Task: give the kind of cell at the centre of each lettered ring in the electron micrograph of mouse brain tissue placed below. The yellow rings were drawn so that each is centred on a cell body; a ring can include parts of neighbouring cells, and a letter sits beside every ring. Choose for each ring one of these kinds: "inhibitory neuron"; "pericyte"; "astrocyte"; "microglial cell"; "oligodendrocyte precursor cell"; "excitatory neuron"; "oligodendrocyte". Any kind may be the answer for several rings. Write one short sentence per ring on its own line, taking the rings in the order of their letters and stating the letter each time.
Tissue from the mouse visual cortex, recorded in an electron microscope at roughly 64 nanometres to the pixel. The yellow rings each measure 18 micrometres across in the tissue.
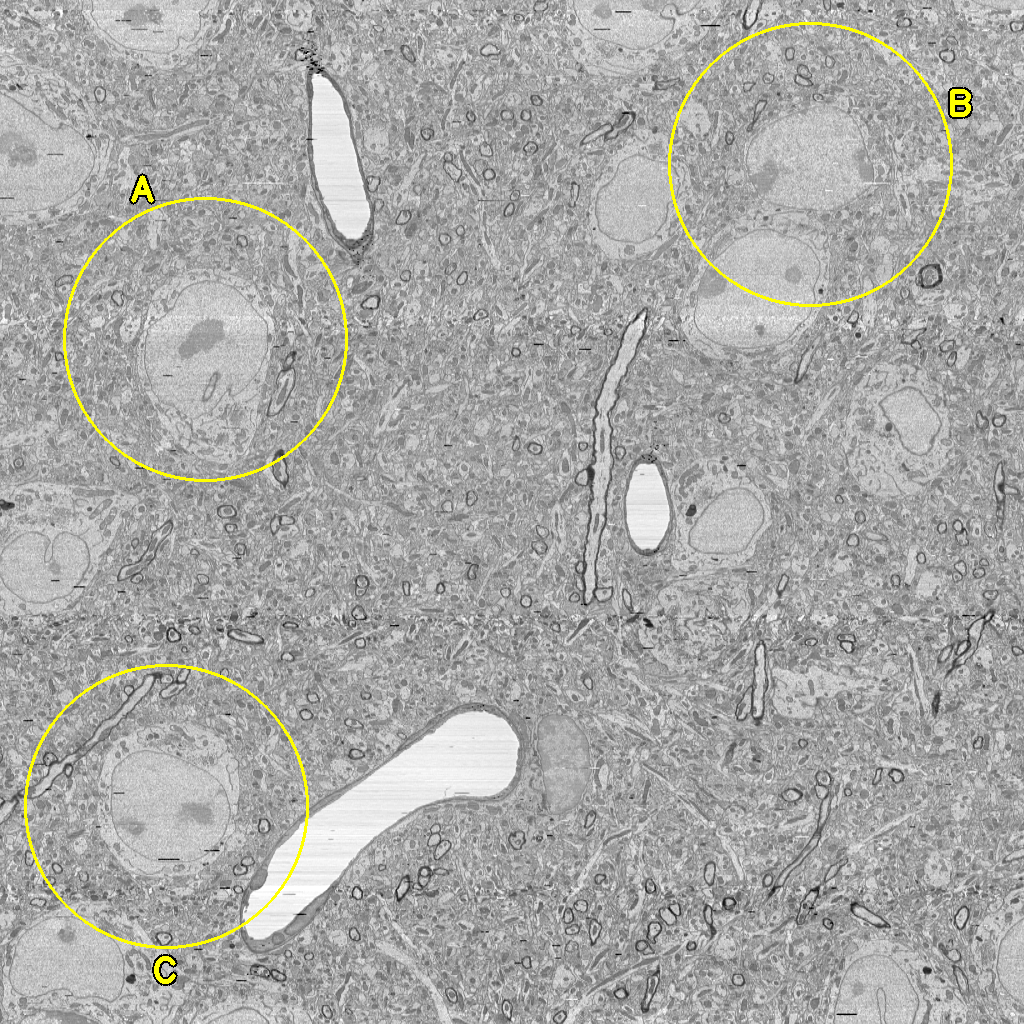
The yellow ring marked A surrounds an inhibitory neuron.
The yellow ring marked B surrounds an astrocyte.
The yellow ring marked C surrounds an excitatory neuron.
